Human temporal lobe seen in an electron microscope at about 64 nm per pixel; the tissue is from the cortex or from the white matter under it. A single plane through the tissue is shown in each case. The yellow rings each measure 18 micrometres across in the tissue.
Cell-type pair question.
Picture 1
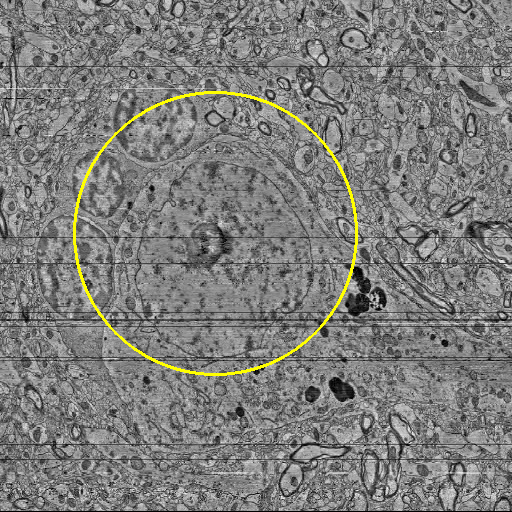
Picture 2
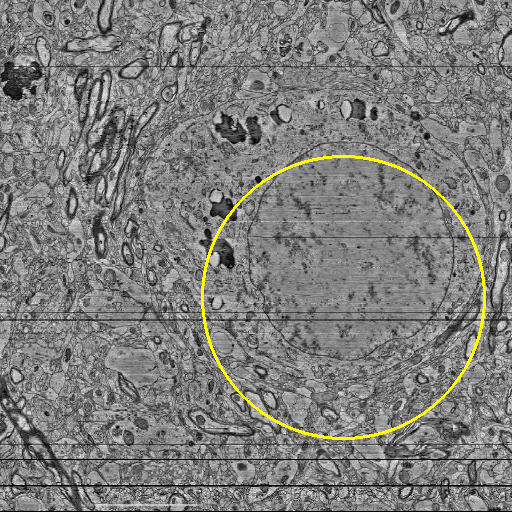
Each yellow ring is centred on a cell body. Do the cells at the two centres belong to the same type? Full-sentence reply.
Yes, the two cells belong to the same type.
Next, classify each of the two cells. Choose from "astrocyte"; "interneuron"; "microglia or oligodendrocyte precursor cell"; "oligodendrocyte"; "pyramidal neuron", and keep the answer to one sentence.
Each cell at the centre of a ring is a pyramidal neuron.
